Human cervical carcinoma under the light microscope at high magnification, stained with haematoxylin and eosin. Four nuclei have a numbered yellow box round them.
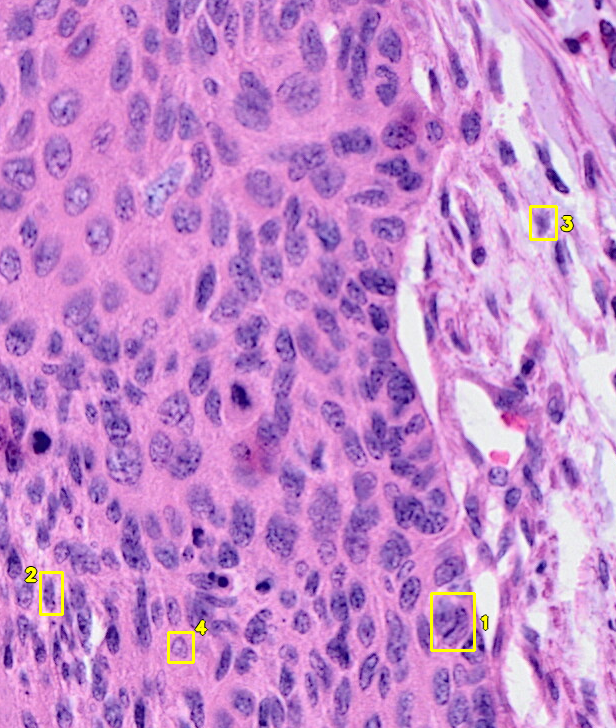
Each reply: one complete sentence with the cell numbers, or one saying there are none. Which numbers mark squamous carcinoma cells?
Cells 1, 2 and 4 are recognised here as squamous carcinoma cells.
